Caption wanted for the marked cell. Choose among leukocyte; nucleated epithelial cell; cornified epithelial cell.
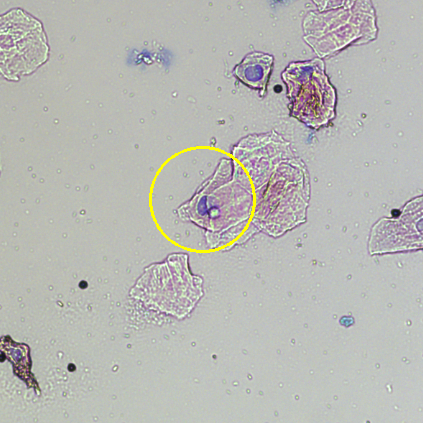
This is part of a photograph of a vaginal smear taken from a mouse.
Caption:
Ringed in yellow is a nucleated epithelial cell.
